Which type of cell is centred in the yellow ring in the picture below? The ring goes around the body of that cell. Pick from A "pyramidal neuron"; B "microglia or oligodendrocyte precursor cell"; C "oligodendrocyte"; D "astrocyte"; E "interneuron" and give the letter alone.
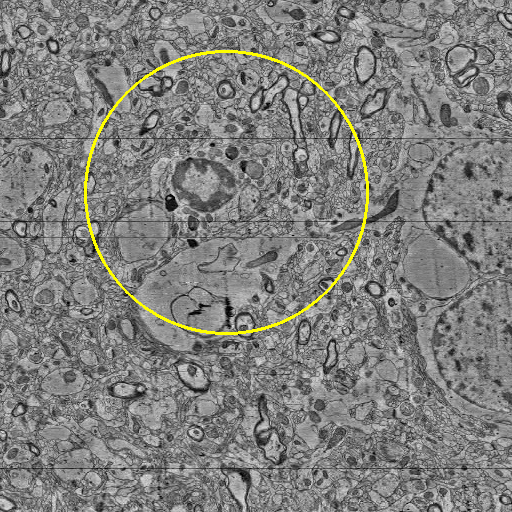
B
